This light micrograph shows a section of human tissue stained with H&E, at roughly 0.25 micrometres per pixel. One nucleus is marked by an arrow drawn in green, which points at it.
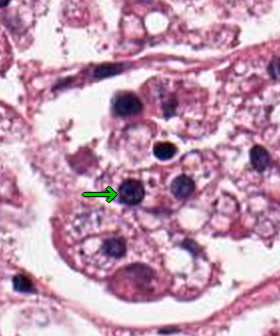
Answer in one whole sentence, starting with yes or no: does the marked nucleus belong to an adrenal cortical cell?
Yes, what is marked here is the nucleus of an adrenal cortical cell.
